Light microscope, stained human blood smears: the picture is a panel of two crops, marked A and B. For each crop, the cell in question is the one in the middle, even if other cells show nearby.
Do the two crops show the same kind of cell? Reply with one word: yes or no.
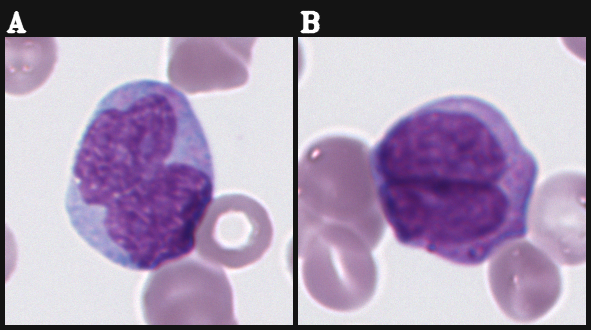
yes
